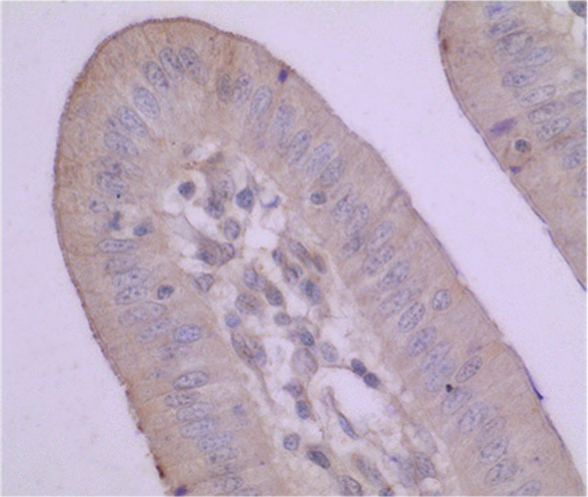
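A long, finger-like villus is lined by a single row of tall columnar cells with elongated, pale blue nuclei packed in a palisade, and a faint brownish tinge over the cytoplasm with a darker line at the surface border. The centre holds a loose core with scattered small nuclei and empty clefts. No discrete brown clumps are seen within the lining cells. This is the mucosal surface of the small intestine, its villus covered by epithelial cells over a lamina propria core.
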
